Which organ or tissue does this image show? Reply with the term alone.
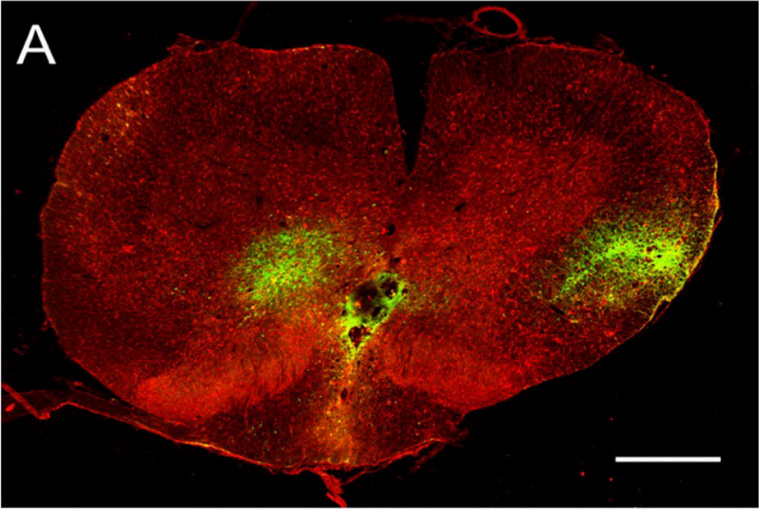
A: Spinal cord.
